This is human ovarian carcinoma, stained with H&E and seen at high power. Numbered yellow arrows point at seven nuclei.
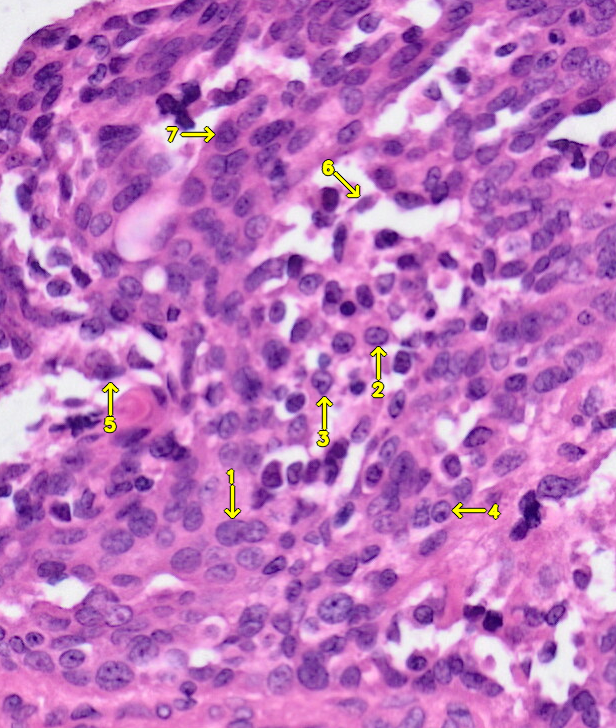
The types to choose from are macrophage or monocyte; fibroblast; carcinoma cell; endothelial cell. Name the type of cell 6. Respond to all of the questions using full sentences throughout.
The numbered cell 6 in this field is a carcinoma cell.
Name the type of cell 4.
The cell to which the number 4 is assigned is a macrophage or monocyte.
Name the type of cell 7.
Heads up, the cell numbered 7 is a carcinoma cell.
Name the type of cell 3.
The cell whose nucleus carries the number 3 is a macrophage or monocyte.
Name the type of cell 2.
To a macrophage or monocyte belongs the nucleus marked 2.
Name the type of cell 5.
The cell that bears the number 5 is a carcinoma cell.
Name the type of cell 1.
The cell numbered 1 represents a carcinoma cell.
